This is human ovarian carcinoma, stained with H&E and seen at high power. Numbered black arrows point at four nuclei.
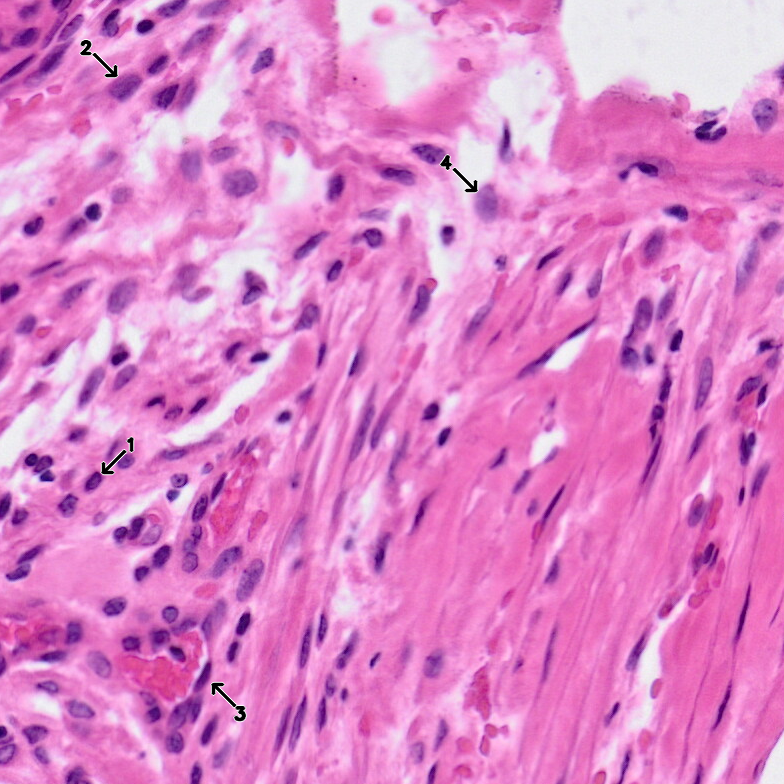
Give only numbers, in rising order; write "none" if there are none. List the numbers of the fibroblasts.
1, 2, 4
